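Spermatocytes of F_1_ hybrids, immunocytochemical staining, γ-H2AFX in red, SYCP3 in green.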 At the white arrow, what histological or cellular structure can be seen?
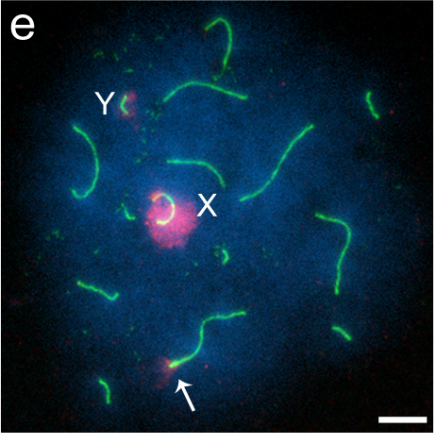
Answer: An autosomal pair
